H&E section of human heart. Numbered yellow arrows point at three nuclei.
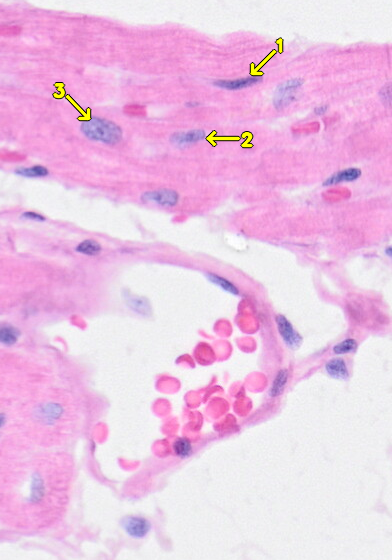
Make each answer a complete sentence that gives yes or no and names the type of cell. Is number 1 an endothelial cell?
Yes, the cell shown as number 1 is an endothelial cell.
